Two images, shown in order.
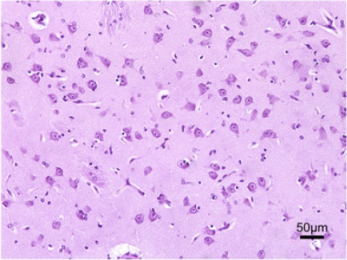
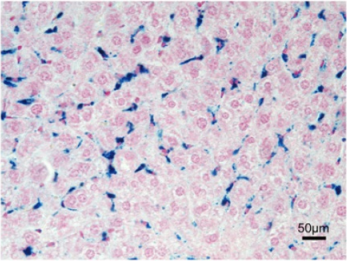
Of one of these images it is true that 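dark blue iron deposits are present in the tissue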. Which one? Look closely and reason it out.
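Second image: many dark blue irregular deposits scattered between the cells. First image: only purple-stained cells on a pale background, no blue deposits.
Conclusion: the second image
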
